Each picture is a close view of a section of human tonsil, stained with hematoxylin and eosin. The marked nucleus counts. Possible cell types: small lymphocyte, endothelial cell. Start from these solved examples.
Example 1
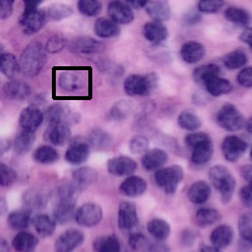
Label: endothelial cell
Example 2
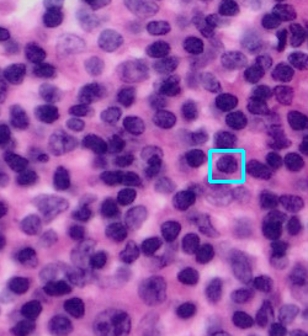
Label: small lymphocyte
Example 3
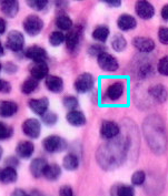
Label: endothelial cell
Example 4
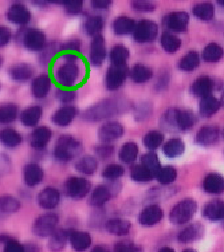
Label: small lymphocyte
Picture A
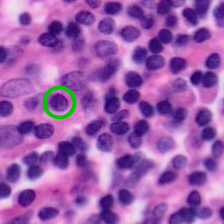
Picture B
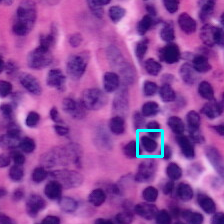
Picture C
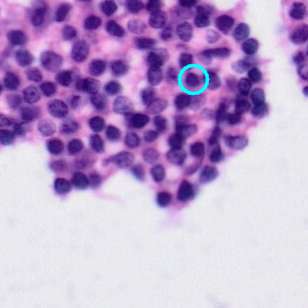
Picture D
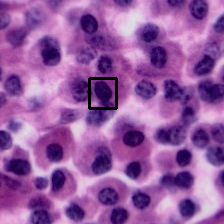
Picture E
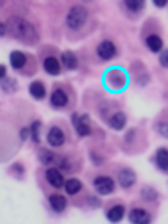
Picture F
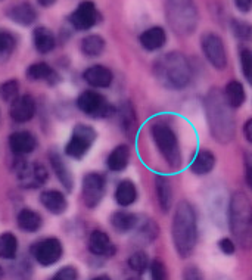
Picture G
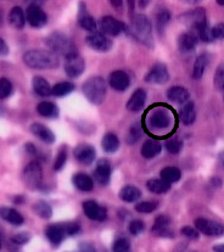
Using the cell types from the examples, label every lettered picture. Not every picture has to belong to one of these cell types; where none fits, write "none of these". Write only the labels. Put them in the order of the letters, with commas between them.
endothelial cell, small lymphocyte, small lymphocyte, none of these, none of these, endothelial cell, none of these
